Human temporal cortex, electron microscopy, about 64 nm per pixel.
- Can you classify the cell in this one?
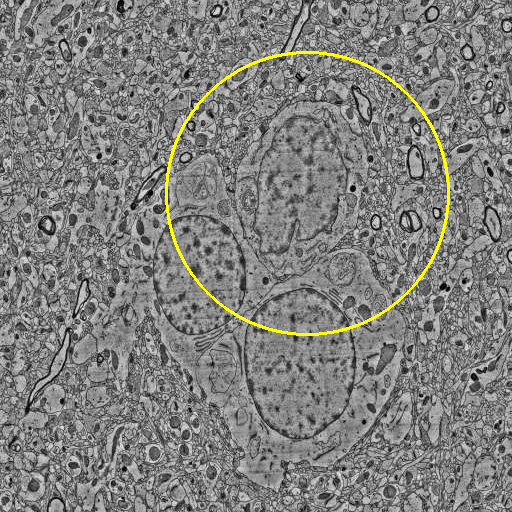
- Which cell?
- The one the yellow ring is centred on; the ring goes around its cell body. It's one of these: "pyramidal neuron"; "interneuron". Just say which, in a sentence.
The cell body in the ring belongs to an interneuron.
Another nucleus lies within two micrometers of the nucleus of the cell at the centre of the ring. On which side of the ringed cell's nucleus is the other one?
The other nucleus is located to the lower left of it.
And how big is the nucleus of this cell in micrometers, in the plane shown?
About 9 micrometres by about 6 micrometres in this plane.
